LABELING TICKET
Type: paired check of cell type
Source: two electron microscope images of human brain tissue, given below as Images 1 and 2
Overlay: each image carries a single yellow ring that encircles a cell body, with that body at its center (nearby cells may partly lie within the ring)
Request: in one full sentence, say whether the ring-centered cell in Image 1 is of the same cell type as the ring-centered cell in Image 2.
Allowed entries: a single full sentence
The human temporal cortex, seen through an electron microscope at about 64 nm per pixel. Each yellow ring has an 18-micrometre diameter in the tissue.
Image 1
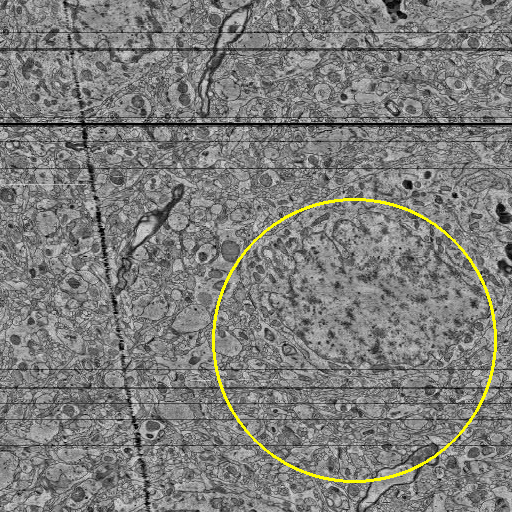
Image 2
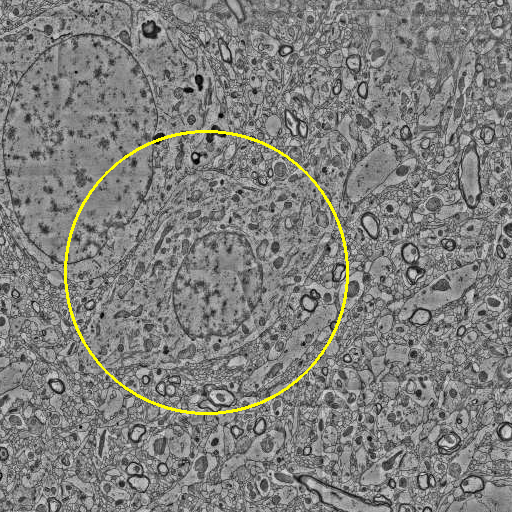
Yes, the cells centered in the rings of Image 1 and Image 2 share one type.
